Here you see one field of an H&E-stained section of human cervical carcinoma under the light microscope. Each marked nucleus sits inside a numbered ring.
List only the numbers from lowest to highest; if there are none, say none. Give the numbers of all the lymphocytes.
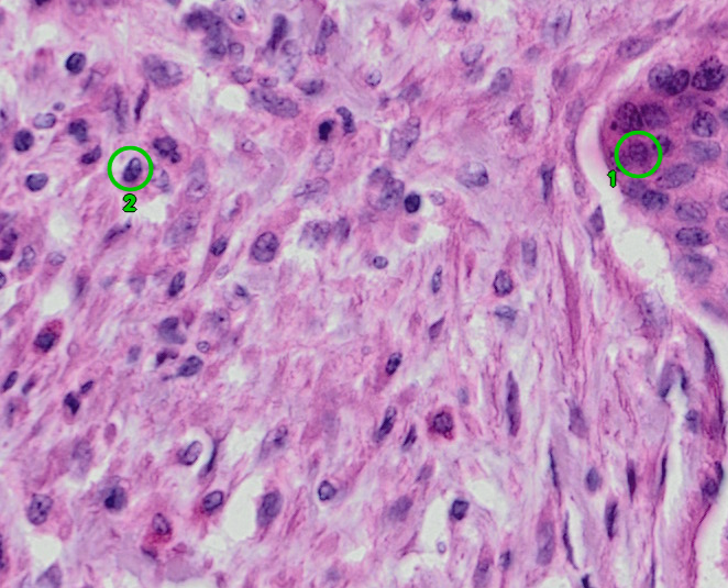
2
